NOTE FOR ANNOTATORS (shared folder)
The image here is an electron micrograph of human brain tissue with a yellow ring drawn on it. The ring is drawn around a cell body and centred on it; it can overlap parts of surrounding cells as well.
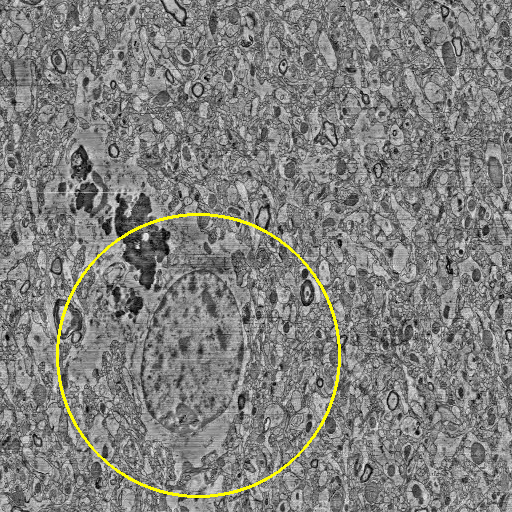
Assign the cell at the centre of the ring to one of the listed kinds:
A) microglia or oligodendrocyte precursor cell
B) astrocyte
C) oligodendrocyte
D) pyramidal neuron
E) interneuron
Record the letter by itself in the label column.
B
